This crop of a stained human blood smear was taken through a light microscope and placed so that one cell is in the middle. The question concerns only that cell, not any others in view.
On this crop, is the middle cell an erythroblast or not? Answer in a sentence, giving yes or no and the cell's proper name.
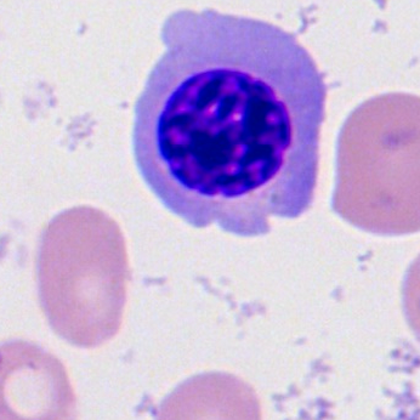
Yes, the cell at the centre of this crop is identified as an erythroblast.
